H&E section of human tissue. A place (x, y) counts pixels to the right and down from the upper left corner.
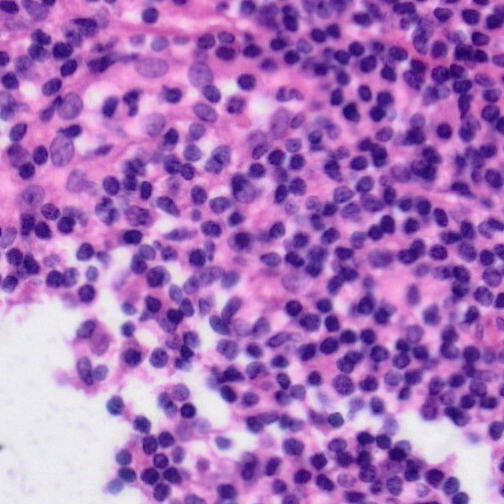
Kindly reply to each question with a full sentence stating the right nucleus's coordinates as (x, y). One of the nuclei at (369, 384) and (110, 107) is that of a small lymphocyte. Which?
The nucleus at (369, 384) is attributed to a small lymphocyte, unlike the other nucleus.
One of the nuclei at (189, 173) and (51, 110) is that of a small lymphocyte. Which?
The nucleus whose cell is a small lymphocyte is the one at (189, 173).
